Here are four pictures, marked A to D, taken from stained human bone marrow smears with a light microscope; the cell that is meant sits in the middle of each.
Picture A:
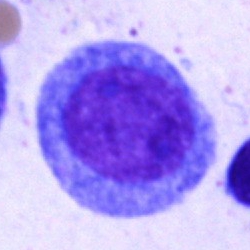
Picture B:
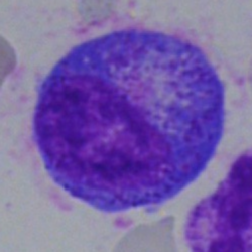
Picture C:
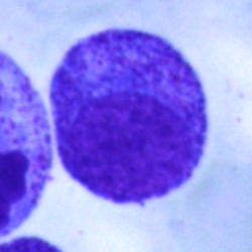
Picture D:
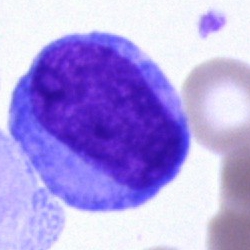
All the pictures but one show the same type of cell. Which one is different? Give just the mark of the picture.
D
